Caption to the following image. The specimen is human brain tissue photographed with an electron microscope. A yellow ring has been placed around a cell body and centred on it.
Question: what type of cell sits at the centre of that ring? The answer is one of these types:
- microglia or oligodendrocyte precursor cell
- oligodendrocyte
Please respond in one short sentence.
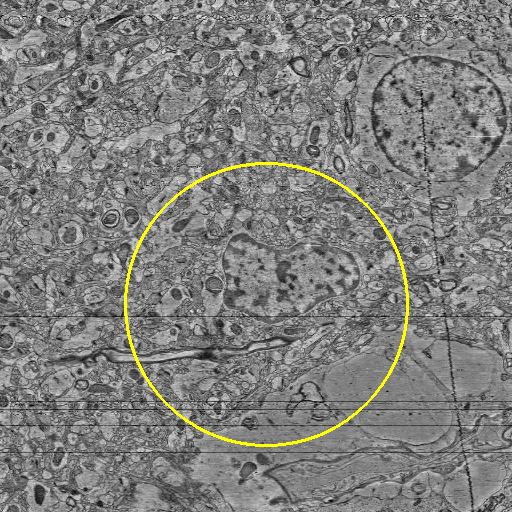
The ring surrounds the cell body of a microglial cell or oligodendrocyte precursor cell.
